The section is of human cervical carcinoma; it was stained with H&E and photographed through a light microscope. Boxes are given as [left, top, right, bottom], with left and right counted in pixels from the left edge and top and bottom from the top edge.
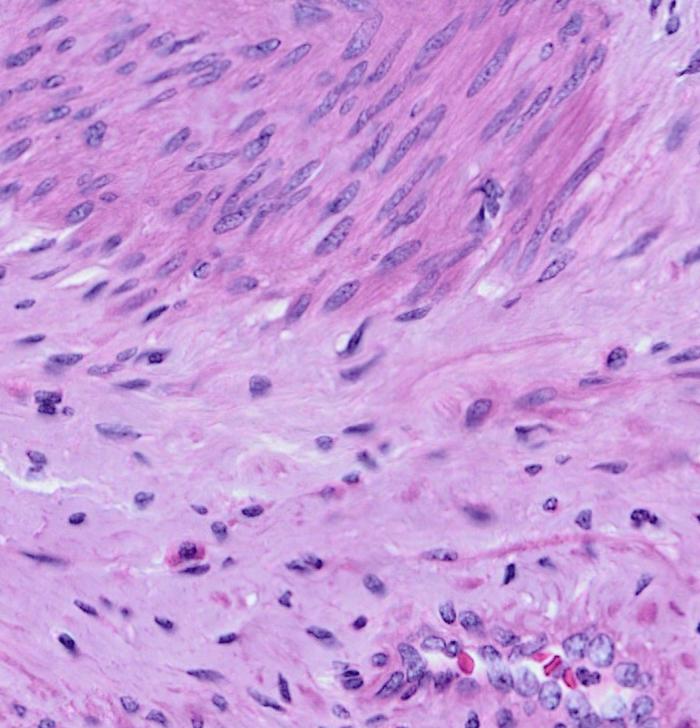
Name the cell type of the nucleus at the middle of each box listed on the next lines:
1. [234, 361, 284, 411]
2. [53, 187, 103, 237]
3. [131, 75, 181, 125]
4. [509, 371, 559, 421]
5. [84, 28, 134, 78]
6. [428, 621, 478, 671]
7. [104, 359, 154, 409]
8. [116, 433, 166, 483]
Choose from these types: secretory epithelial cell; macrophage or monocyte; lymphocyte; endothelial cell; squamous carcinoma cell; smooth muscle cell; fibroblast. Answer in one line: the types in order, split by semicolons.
fibroblast; smooth muscle cell; smooth muscle cell; smooth muscle cell; smooth muscle cell; endothelial cell; fibroblast; fibroblast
